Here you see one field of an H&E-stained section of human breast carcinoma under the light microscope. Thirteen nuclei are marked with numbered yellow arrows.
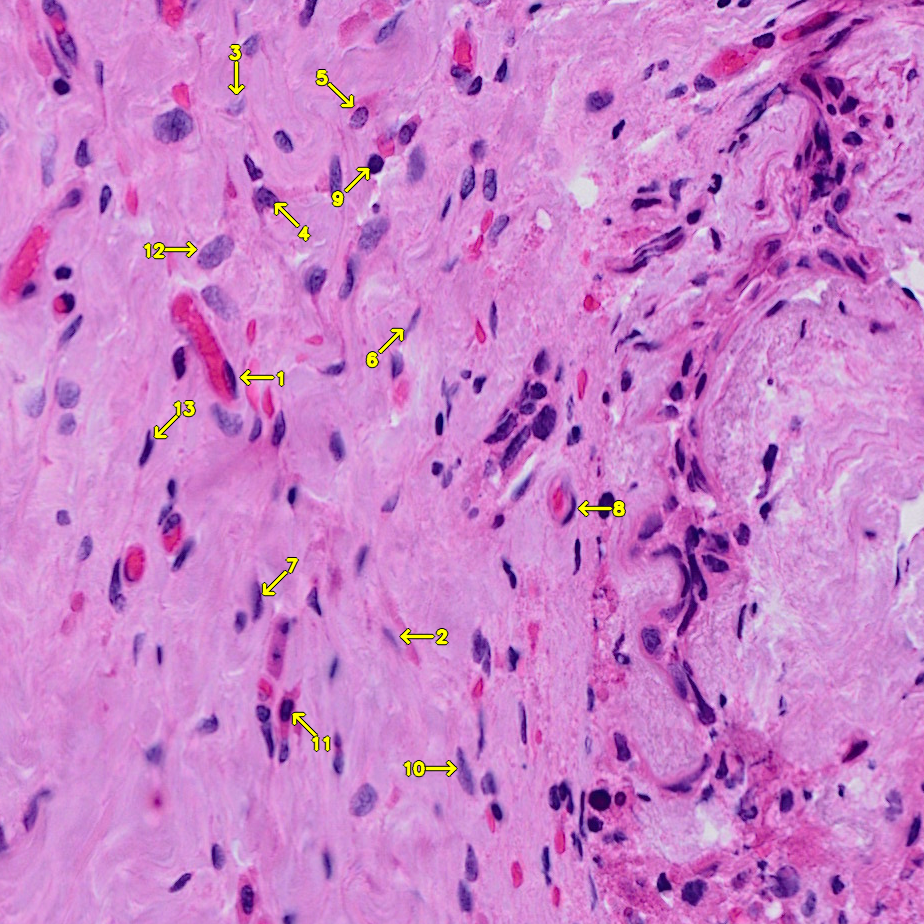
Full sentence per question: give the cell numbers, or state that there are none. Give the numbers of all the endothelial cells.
Cells numbered 1 and 8 belong to the group of endothelial cells.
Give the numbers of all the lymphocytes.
Cell 9 is a lymphocyte, and this holds for no other numbered cell.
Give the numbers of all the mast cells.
The cells with numbers 4, 5 and 11 are mast cells by type.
